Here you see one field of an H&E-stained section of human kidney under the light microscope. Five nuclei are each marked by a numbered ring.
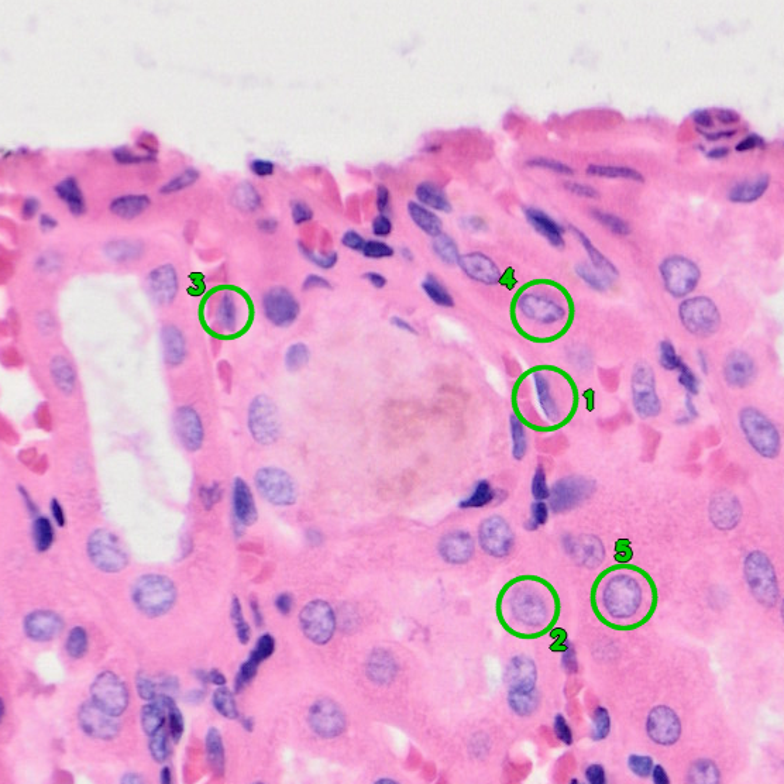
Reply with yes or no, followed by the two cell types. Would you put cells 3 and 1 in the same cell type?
Yes, within the numbered set, cells 3 and 1 are both endothelial cells.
